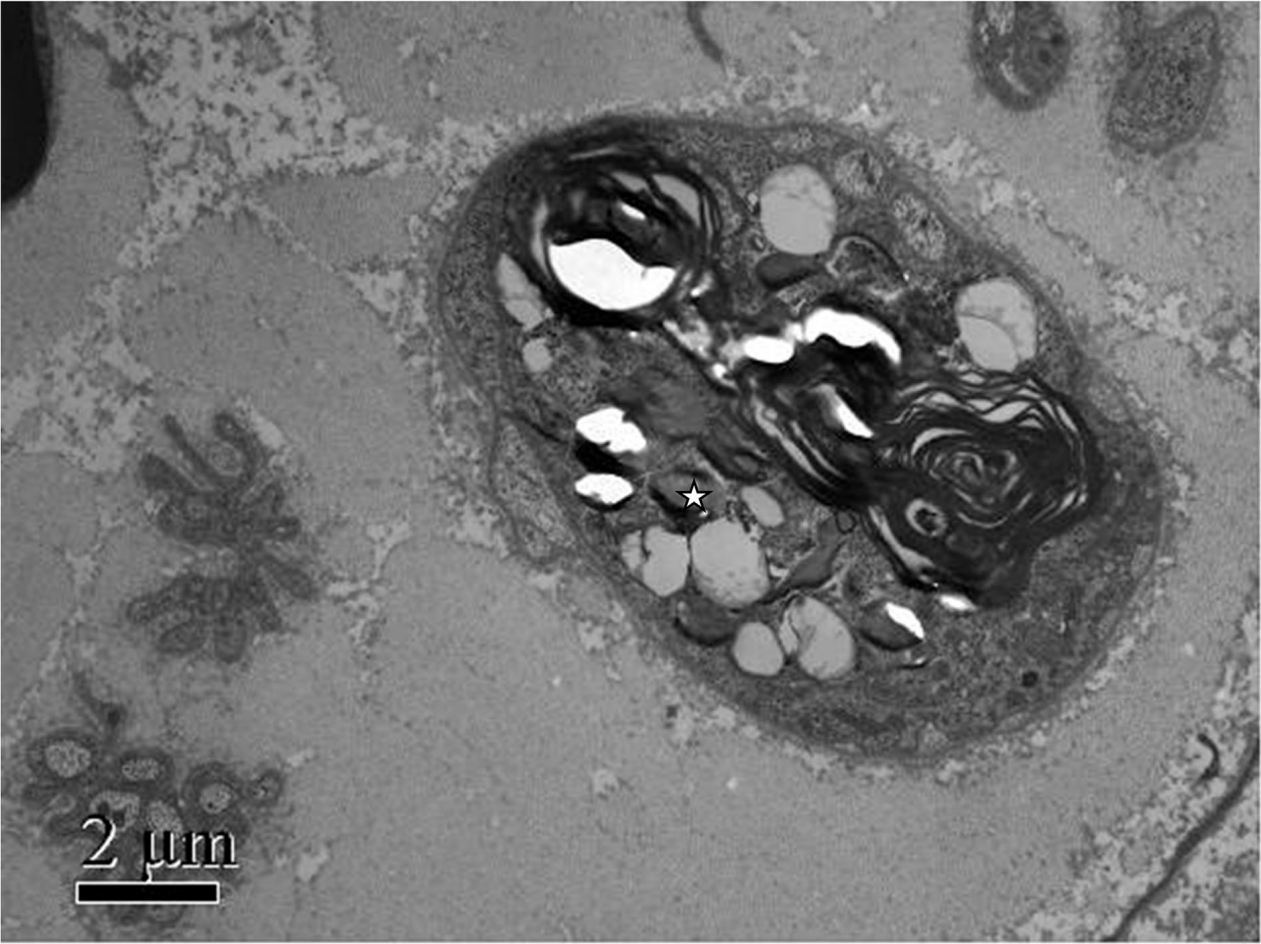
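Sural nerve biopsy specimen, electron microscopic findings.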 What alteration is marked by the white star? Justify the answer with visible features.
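Wallerian degeneration. A large oval fiber profile holds collapsed, whorled and fragmented dark myelin lamellae. Round pale vacuoles and dark debris fill the space around the marked area. No intact compact myelin ring surrounds a normal axon.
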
